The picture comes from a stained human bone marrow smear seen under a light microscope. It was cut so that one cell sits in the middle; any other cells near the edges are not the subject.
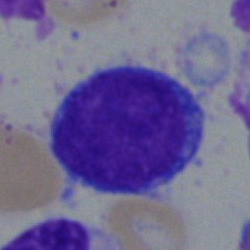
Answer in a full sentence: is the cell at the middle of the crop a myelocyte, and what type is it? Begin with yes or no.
No, it isn't a myelocyte; what sits in the middle is a blast.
